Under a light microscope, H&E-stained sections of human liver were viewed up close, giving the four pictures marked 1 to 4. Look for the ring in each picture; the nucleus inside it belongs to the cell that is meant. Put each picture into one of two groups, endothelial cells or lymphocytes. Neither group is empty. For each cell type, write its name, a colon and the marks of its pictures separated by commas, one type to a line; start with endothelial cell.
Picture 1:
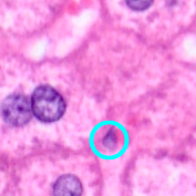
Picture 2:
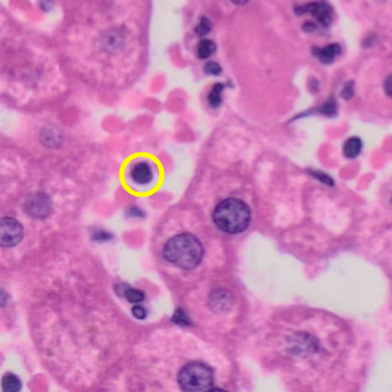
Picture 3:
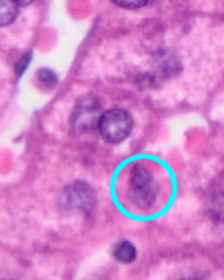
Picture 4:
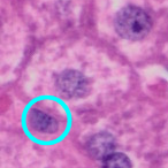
endothelial cell: 1, 3, 4
lymphocyte: 2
